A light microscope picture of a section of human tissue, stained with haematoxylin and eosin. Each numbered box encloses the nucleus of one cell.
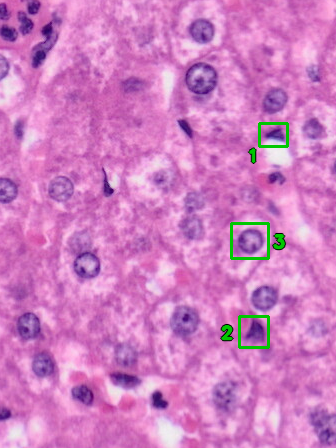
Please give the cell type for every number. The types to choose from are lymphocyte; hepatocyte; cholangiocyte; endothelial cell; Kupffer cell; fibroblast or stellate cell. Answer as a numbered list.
1. endothelial cell
2. fibroblast or stellate cell
3. hepatocyte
